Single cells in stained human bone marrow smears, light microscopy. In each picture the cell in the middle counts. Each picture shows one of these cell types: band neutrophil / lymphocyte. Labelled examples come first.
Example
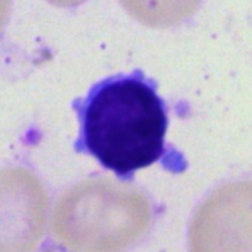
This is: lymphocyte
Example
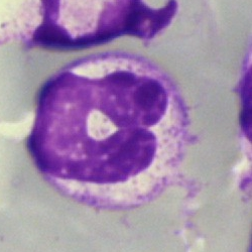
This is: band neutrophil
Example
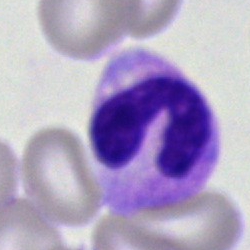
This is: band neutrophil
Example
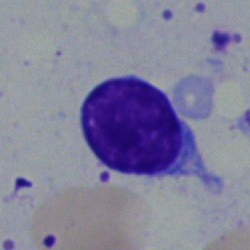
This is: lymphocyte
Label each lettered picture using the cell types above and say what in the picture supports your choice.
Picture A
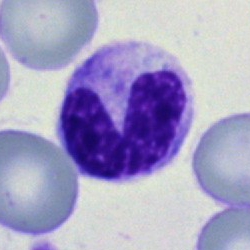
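band neutrophil. Reason: The nucleus is a curved band bent into a U with its opening facing upward.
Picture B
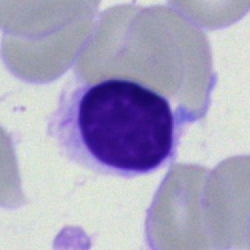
lymphocyte. Reason: The cytoplasm is scant and widest on the left side of the nucleus.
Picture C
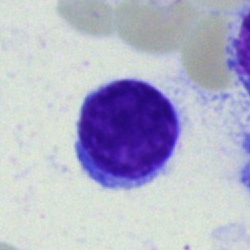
lymphocyte. Reason: The cytoplasm is a thin rim that is widest at the lower left.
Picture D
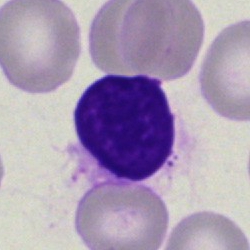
lymphocyte. Reason: The cytoplasm forms only a scant, pale lilac rim.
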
